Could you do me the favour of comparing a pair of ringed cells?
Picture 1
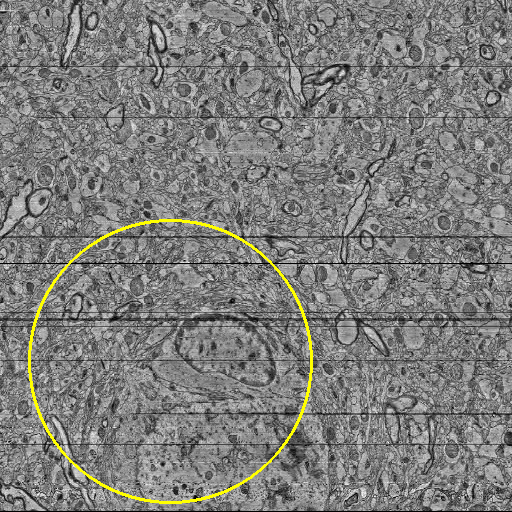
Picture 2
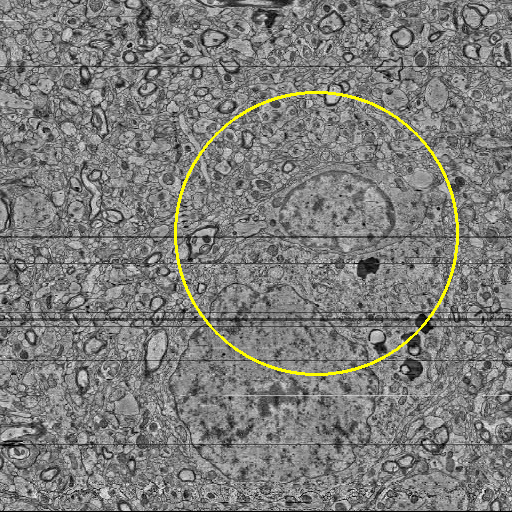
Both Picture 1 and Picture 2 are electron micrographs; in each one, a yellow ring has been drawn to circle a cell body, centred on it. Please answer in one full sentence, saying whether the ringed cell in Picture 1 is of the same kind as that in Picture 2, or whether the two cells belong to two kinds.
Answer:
The ringed cells in Picture 1 and Picture 2 belong to two kinds.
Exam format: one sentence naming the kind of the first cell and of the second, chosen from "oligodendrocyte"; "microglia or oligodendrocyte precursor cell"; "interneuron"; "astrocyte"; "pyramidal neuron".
The first picture's cell is a microglial cell or oligodendrocyte precursor cell, and the second picture's cell is an oligodendrocyte.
